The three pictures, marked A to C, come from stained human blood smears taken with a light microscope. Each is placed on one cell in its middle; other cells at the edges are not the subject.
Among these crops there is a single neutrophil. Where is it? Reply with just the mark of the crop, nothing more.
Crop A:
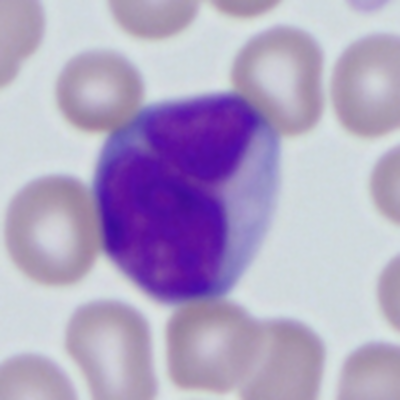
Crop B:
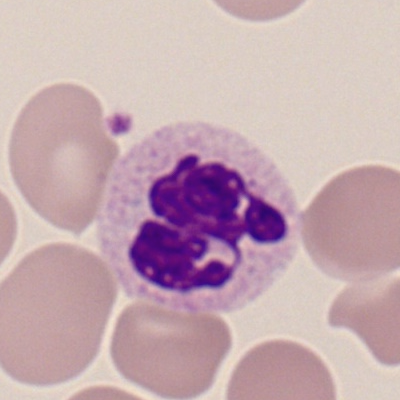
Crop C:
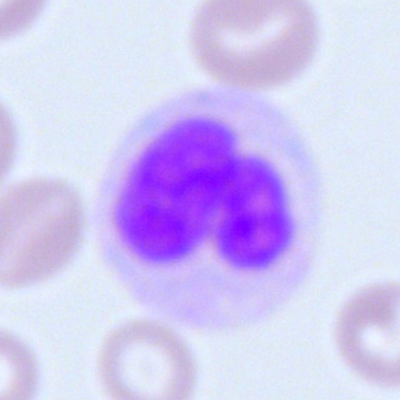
B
